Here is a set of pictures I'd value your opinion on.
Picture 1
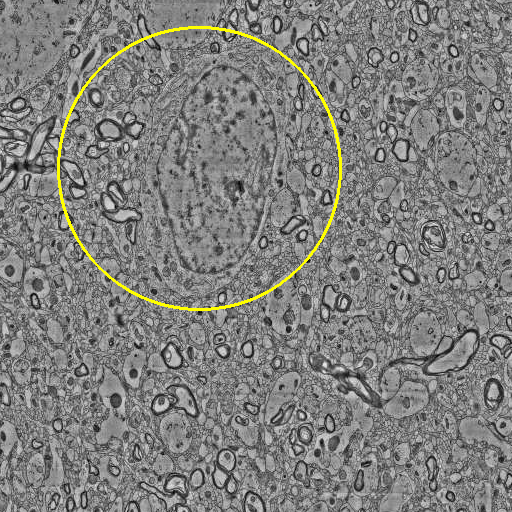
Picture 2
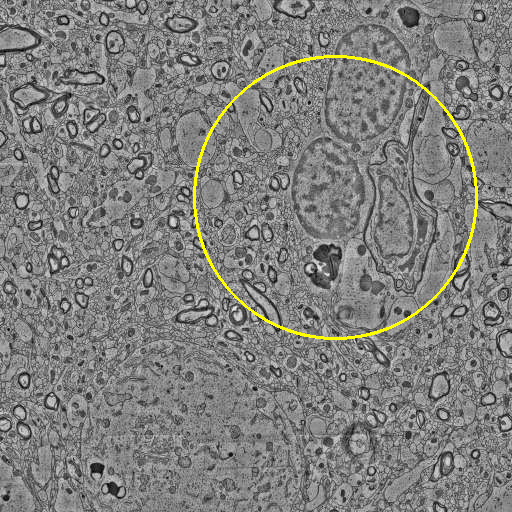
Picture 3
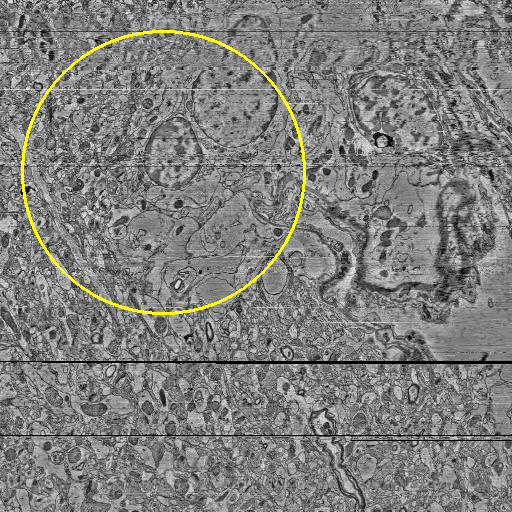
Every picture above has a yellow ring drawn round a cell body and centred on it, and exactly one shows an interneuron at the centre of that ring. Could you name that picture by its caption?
Picture 1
